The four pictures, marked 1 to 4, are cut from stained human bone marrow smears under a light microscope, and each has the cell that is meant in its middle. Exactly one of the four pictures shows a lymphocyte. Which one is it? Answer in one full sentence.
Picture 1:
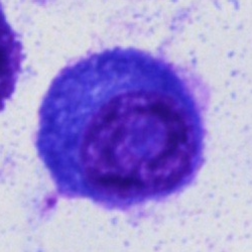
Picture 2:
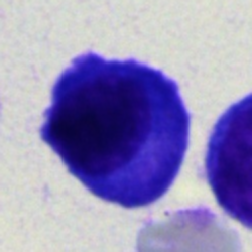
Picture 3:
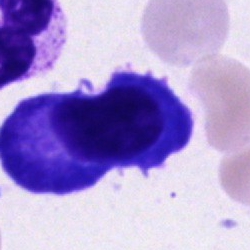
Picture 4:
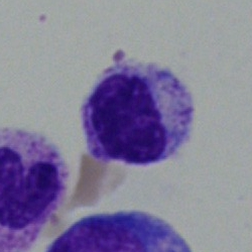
The cell in picture 4 is the lymphocyte.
